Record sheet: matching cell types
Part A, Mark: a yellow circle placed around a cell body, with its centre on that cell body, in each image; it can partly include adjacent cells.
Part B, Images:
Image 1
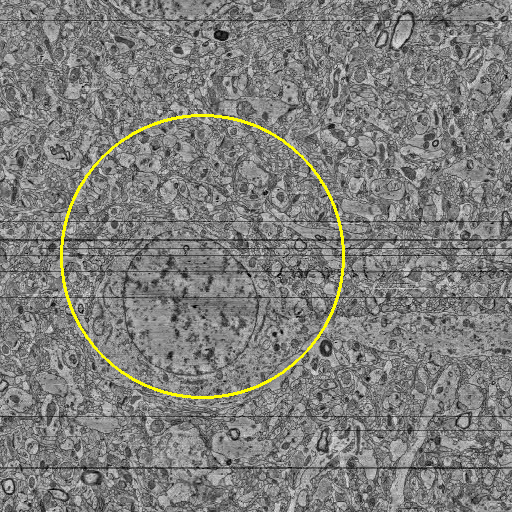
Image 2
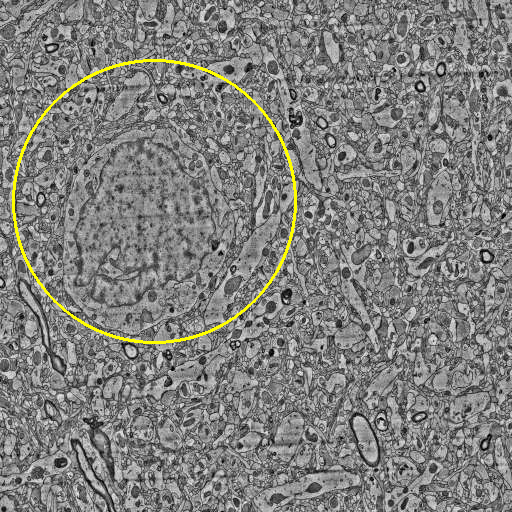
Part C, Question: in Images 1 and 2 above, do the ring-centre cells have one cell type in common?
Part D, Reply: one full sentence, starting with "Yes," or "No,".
No, the ring-centre cells of Image 1 and Image 2 are each of a separate cell type.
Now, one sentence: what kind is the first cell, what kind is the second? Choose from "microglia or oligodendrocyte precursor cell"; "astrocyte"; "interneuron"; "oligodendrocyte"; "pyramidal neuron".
The first picture has a pyramidal neuron at its ring centre, and the second has an interneuron.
